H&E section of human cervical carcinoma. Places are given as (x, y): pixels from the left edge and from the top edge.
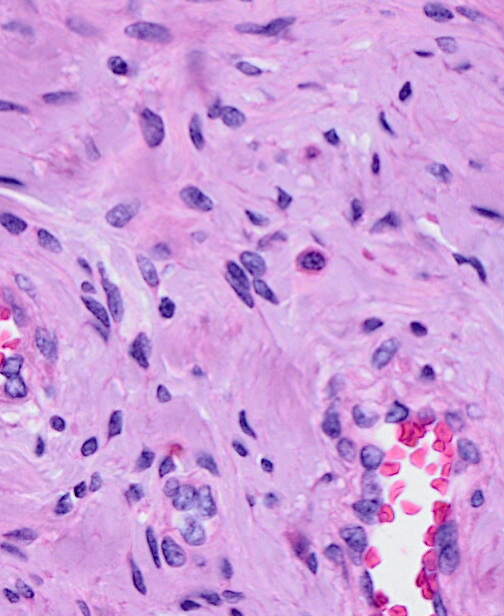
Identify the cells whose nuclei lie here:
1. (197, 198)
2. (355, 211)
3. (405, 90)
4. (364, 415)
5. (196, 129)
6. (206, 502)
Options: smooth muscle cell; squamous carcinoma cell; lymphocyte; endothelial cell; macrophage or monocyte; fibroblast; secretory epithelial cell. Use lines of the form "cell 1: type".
cell 1: fibroblast
cell 2: fibroblast
cell 3: fibroblast
cell 4: endothelial cell
cell 5: fibroblast
cell 6: endothelial cell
